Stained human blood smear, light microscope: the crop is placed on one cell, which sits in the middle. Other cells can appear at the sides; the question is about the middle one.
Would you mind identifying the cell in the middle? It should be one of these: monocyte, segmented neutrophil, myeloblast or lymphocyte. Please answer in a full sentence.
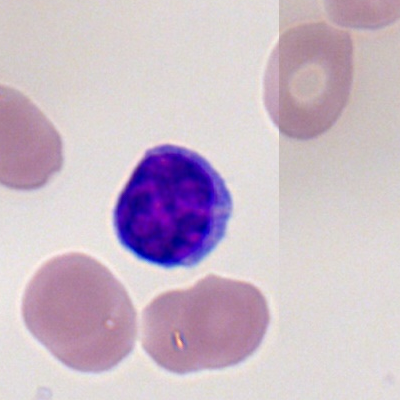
What the crop centres on is a lymphocyte.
